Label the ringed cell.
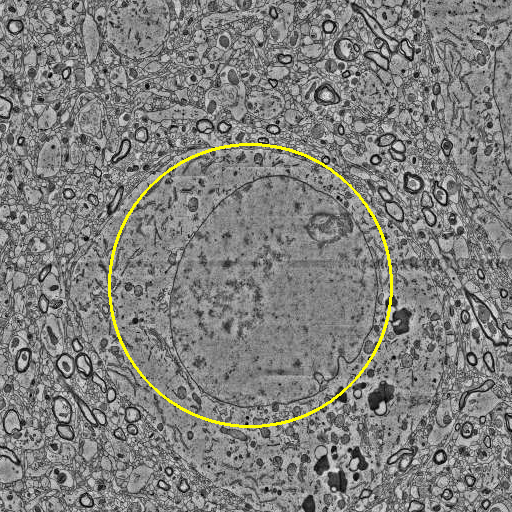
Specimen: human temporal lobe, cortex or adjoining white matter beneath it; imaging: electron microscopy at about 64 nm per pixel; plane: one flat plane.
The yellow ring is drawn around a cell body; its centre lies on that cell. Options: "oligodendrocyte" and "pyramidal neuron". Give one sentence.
The ringed cell is a pyramidal neuron.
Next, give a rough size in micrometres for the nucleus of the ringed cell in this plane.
The nucleus measures about 14 micrometers across in this plane.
